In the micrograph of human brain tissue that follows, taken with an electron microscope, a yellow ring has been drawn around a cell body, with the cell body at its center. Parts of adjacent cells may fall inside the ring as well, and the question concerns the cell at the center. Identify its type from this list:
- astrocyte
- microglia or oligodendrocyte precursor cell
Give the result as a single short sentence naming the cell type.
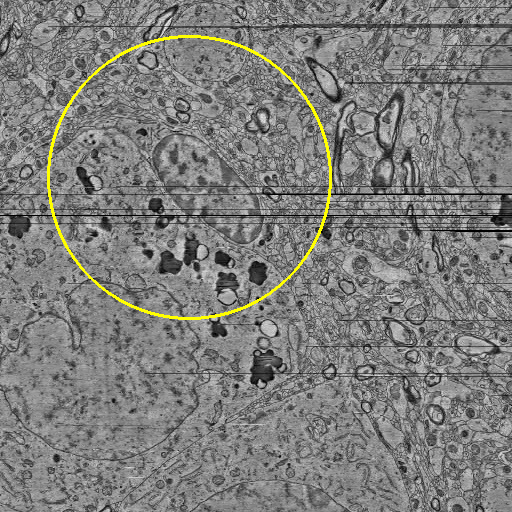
The ring is centered on a microglial cell or oligodendrocyte precursor cell.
